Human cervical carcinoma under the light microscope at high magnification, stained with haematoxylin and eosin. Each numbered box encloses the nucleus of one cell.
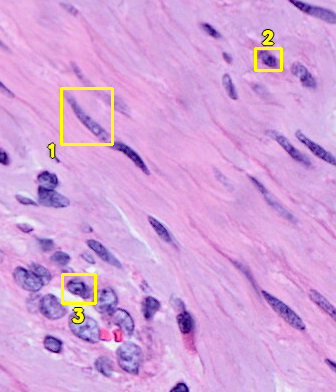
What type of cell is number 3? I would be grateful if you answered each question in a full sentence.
The cell tagged with 3 in this tissue section is an endothelial cell.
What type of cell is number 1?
Here the cell numbered 1 is a fibroblast.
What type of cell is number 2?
The cell that carries the label 2 is a smooth muscle cell.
